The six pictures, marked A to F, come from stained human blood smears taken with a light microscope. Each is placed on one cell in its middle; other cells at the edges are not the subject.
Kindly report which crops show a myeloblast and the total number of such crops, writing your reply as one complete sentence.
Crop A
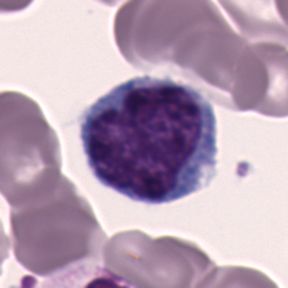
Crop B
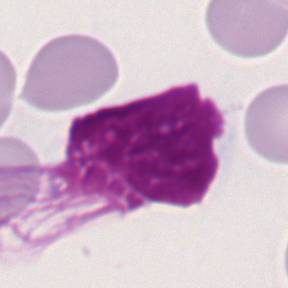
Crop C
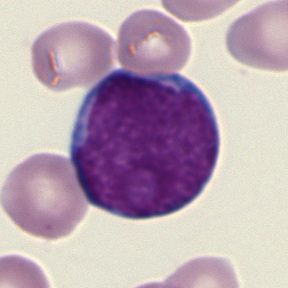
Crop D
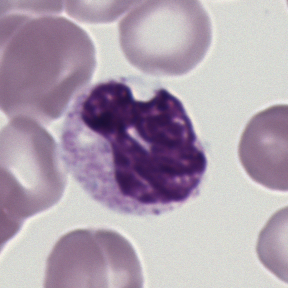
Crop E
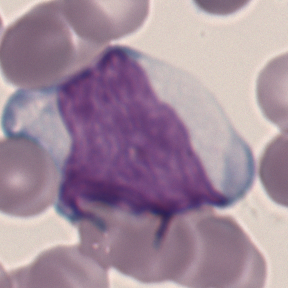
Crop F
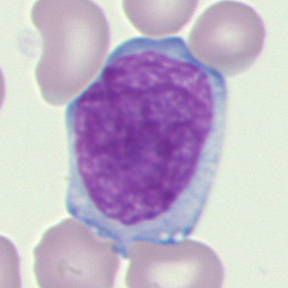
The crops with myeloblasts are three in number, namely C, E and F.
